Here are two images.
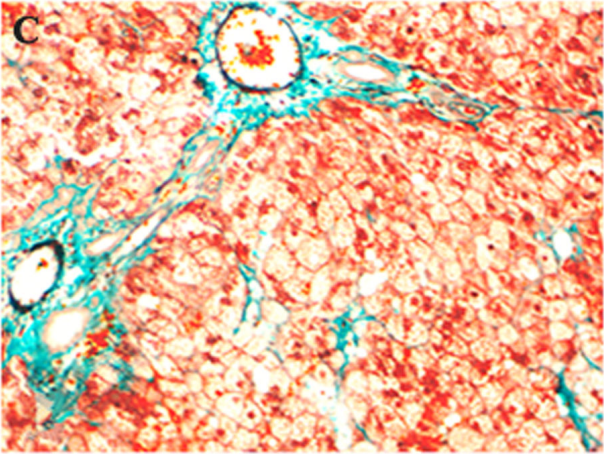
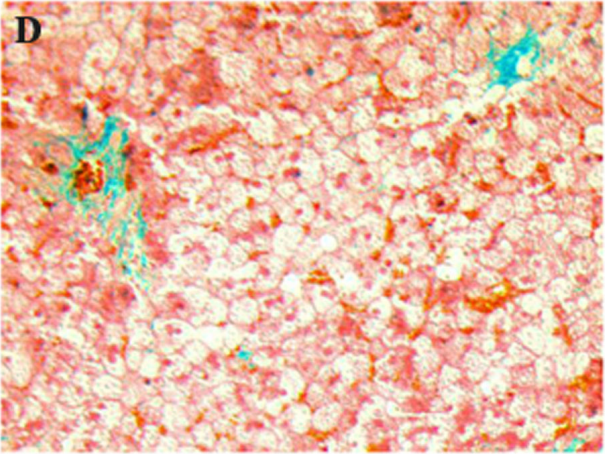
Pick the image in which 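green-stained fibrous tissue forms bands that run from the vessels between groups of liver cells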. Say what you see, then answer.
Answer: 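First image: thick green collars around the vessels with green strands reaching across the field.
The first image.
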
